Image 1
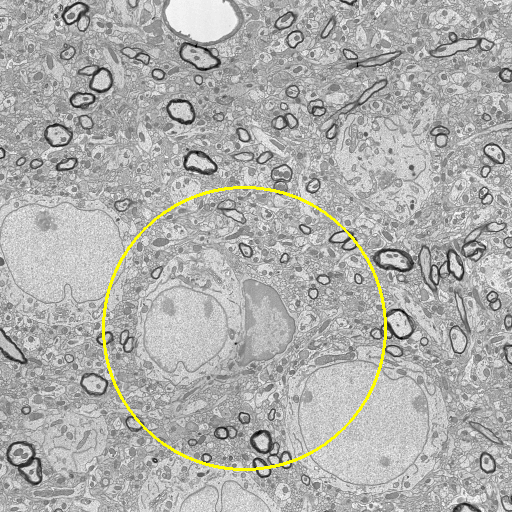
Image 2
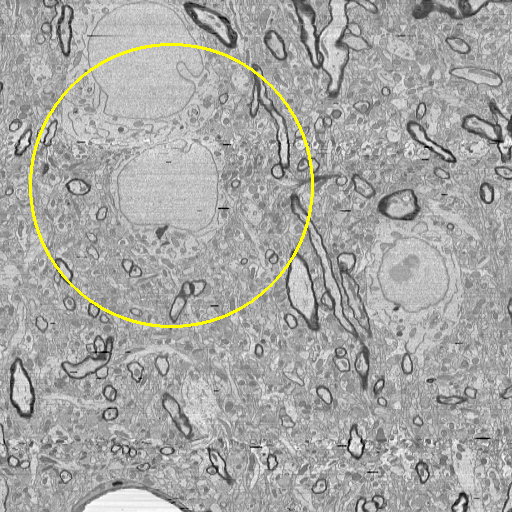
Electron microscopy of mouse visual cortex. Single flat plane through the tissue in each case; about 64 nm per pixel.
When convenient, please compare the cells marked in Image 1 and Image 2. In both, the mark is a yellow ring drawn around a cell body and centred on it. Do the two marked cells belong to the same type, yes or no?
no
